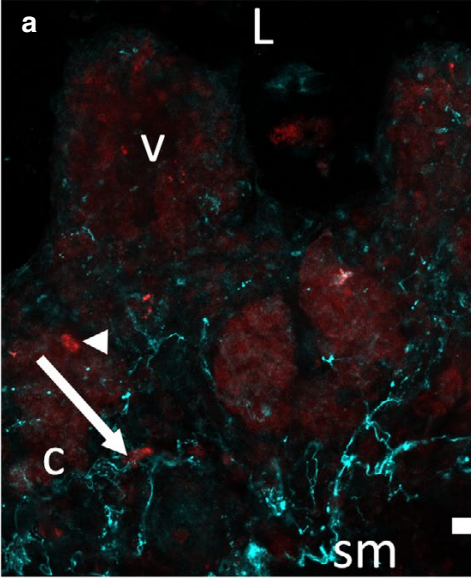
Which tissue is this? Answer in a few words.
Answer: mucosa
